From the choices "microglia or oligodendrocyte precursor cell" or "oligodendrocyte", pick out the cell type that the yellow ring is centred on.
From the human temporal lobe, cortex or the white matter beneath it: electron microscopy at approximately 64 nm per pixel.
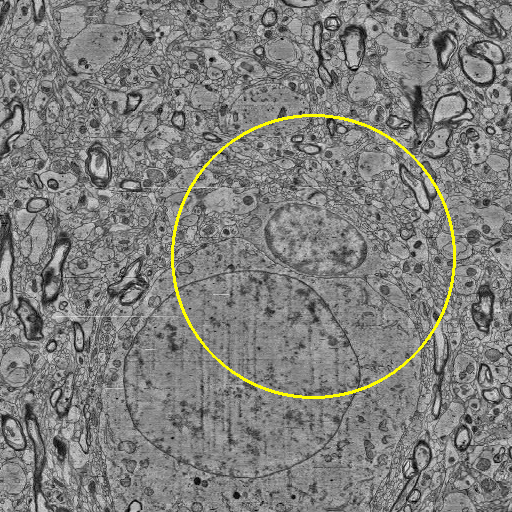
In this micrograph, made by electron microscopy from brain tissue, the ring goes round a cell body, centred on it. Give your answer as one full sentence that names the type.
The yellow ring is centred on an oligodendrocyte, whose cell body it encircles in the picture.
